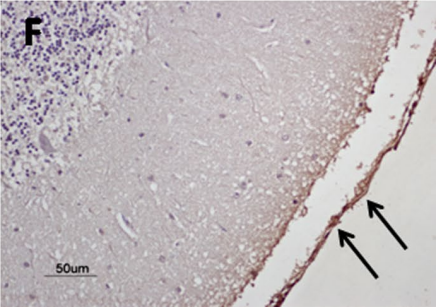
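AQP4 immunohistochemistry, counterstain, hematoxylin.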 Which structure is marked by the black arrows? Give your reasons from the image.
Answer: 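The arrows point to a thin brown-stained membrane lying along the surface of the brain tissue. The membrane is separated from the pale parenchyma by a narrow clear gap.
Leptomeninges.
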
